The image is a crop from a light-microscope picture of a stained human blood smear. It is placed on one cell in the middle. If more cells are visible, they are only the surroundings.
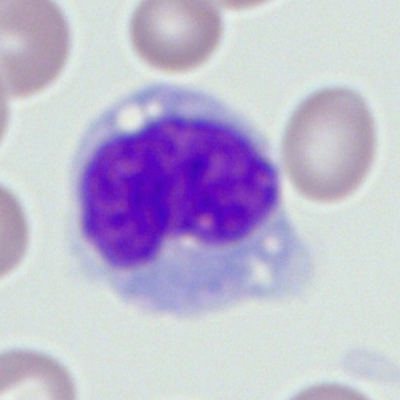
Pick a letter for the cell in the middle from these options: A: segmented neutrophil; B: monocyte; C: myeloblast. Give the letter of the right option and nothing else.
B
